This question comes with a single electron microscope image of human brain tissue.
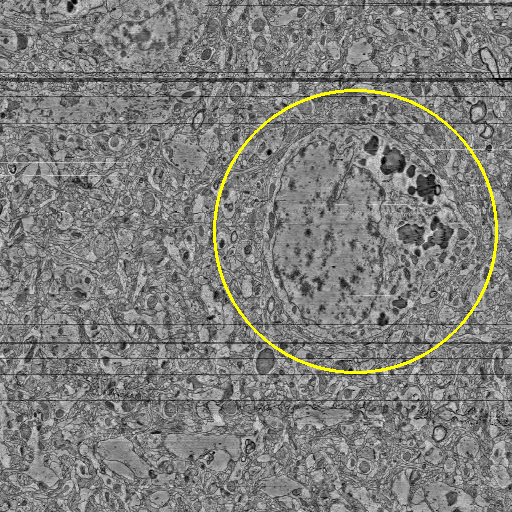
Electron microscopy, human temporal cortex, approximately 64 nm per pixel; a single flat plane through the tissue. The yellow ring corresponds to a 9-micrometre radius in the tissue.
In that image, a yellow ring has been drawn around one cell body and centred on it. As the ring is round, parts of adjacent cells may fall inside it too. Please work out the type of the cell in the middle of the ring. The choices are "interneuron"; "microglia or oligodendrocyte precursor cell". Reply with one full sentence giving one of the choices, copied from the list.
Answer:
Of the choices, an interneuron is the cell sitting in the middle of the ring.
